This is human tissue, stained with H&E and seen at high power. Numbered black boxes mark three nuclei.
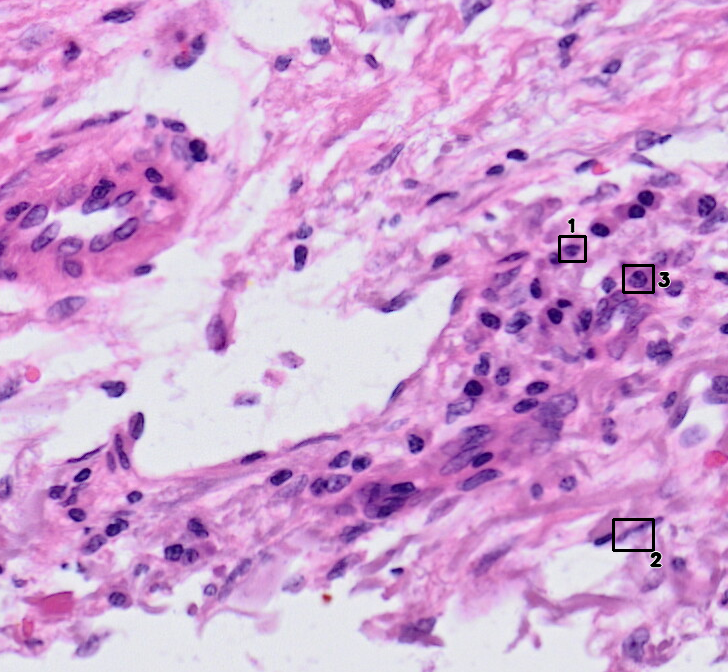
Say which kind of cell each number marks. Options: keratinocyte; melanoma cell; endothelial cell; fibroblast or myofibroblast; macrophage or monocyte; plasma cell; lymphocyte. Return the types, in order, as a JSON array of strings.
["plasma cell", "fibroblast or myofibroblast", "plasma cell"]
